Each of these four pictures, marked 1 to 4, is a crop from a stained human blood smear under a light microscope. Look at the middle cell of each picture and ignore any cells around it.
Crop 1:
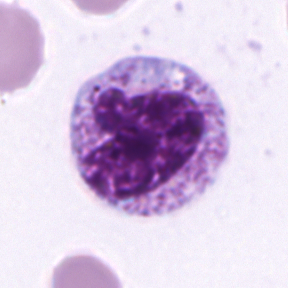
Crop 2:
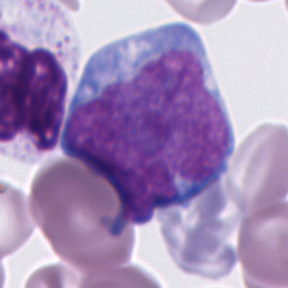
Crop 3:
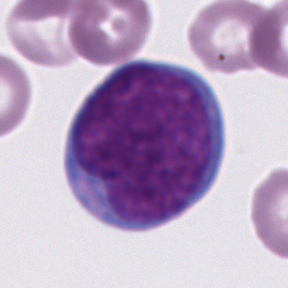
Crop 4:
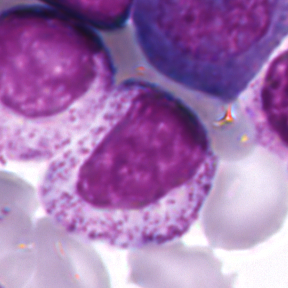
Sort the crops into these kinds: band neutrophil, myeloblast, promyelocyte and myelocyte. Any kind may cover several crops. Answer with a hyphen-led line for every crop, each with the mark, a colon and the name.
- 1: band neutrophil
- 2: myeloblast
- 3: myeloblast
- 4: myelocyte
